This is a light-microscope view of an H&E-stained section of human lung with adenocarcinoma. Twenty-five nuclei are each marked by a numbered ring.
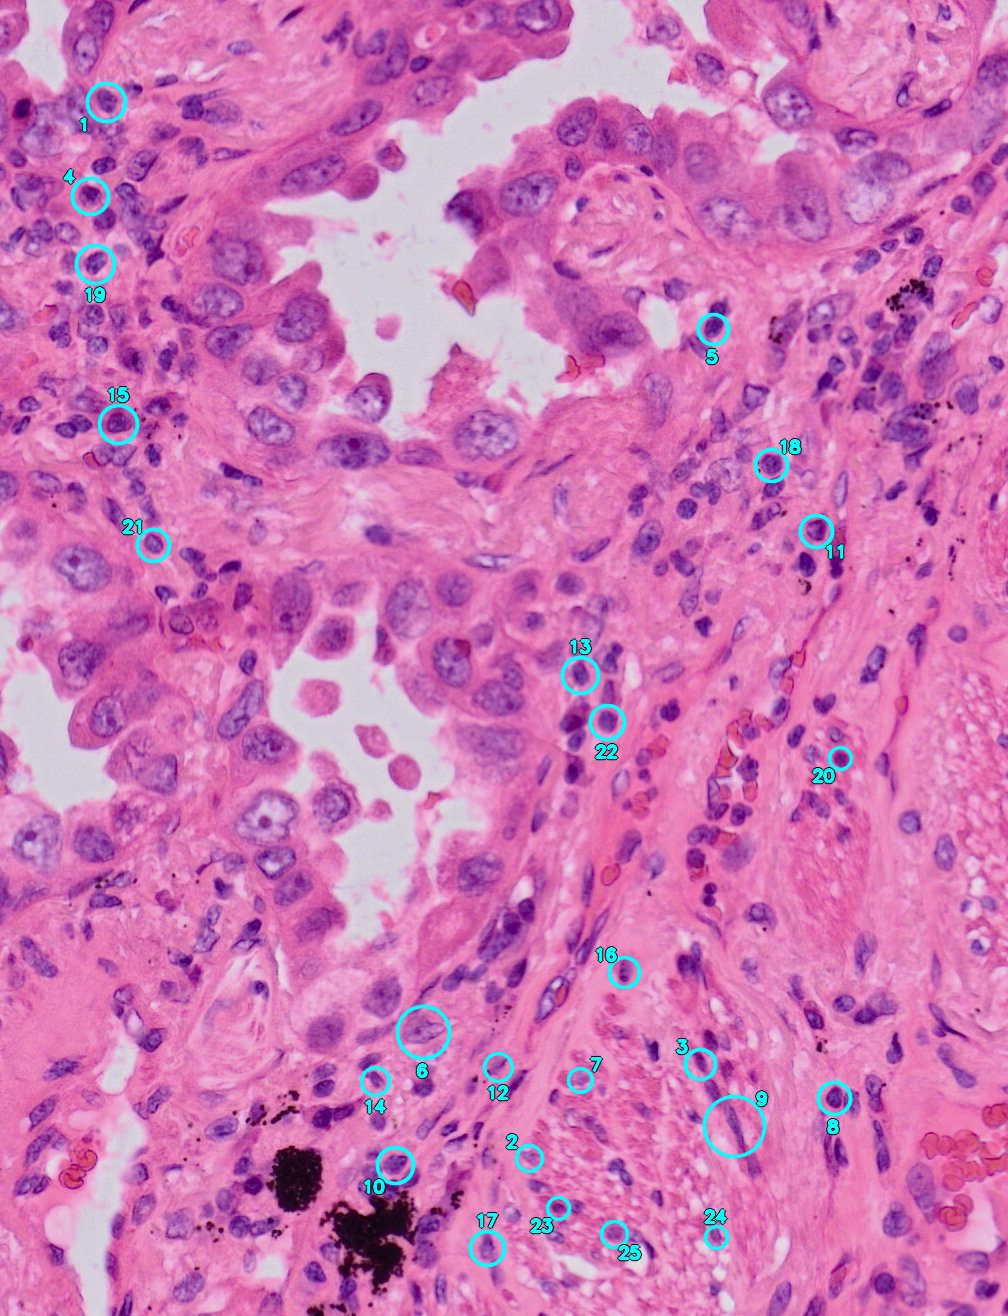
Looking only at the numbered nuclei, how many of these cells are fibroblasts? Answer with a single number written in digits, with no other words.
2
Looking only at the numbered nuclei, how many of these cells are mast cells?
4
